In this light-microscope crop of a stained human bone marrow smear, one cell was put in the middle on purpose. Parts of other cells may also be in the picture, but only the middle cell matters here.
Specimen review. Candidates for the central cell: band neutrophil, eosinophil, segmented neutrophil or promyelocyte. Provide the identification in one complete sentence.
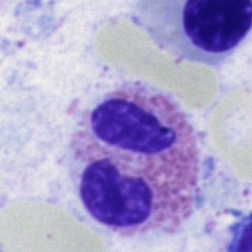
On this slide crop, the central cell is an eosinophil.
